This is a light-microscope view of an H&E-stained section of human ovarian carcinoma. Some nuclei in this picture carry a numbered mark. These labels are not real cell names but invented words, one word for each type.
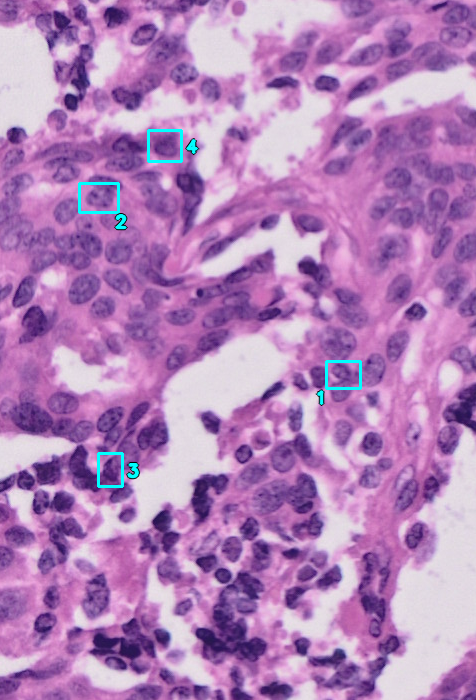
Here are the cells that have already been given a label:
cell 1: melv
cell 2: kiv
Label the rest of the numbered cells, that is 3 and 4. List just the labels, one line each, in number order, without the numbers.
melv
melv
